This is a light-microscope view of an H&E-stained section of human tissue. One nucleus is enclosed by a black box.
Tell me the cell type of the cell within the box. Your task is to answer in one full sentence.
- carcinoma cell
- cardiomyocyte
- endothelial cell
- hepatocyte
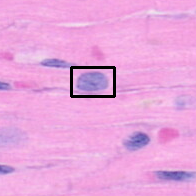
Within this tissue, the cell within the box is a cardiomyocyte.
